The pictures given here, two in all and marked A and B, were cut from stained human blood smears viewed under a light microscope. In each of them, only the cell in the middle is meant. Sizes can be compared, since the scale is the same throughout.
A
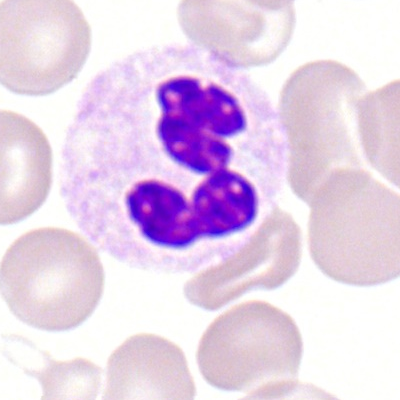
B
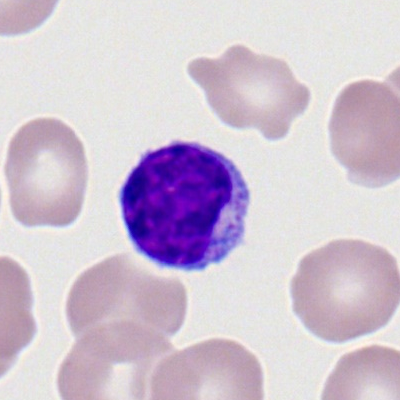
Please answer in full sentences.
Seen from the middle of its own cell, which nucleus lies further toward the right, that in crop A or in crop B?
The nucleus in crop A lies further toward the right of its cell.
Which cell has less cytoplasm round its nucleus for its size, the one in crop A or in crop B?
In crop B the nucleus takes up the larger part of its cell.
